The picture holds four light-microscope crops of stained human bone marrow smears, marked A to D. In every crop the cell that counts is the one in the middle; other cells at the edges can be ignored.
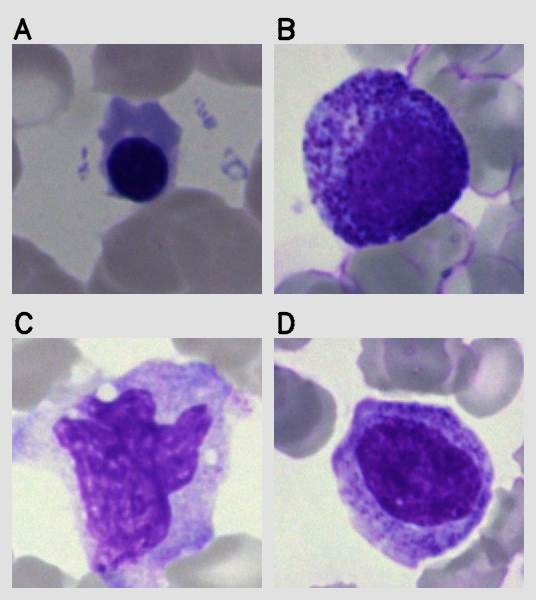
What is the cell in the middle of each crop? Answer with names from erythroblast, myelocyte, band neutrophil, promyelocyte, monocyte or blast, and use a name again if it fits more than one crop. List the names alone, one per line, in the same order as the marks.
erythroblast
promyelocyte
monocyte
myelocyte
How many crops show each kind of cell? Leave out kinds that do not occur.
erythroblast: 1
promyelocyte: 1
monocyte: 1
myelocyte: 1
